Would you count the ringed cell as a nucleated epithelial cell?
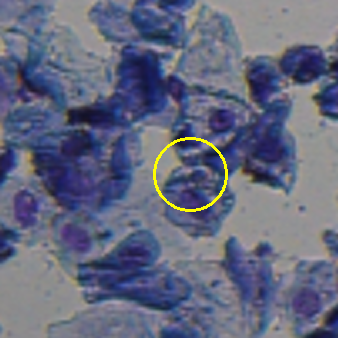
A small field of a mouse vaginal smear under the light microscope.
Yes, I would count it as a nucleated epithelial cell.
